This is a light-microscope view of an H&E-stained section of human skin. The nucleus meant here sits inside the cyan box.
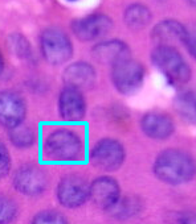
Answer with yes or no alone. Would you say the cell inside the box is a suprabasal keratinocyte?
yes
